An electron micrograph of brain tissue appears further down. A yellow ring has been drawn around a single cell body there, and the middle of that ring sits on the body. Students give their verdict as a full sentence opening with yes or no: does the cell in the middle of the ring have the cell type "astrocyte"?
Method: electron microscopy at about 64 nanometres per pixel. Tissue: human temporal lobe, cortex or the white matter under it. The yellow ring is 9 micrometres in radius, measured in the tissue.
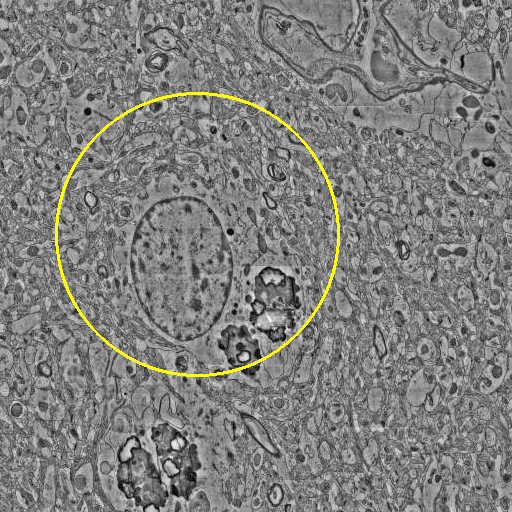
Yes, in this picture the cell sitting at the middle of the ring has that cell type.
